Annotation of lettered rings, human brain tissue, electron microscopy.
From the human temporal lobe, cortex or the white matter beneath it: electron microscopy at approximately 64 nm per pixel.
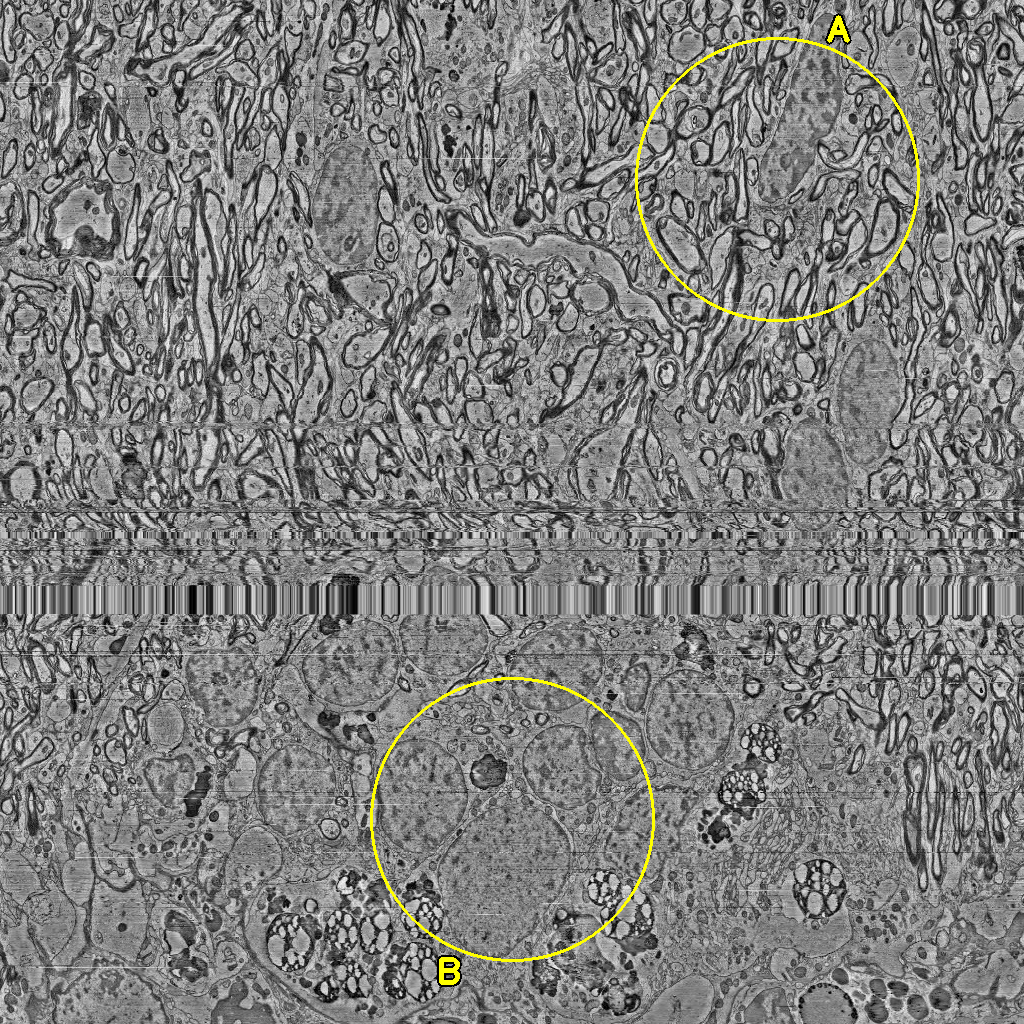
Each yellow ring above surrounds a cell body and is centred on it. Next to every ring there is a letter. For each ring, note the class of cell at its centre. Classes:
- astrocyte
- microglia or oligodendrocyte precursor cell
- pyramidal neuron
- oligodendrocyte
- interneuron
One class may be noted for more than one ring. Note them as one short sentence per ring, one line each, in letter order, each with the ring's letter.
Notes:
The class noted at ring A is a microglial cell or oligodendrocyte precursor cell.
The class noted at ring B is an astrocyte.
